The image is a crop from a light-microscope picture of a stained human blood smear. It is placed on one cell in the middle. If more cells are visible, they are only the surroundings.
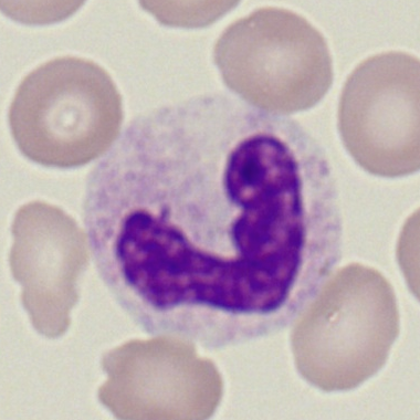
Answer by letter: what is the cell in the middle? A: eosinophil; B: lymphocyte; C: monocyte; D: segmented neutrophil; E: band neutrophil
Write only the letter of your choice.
E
